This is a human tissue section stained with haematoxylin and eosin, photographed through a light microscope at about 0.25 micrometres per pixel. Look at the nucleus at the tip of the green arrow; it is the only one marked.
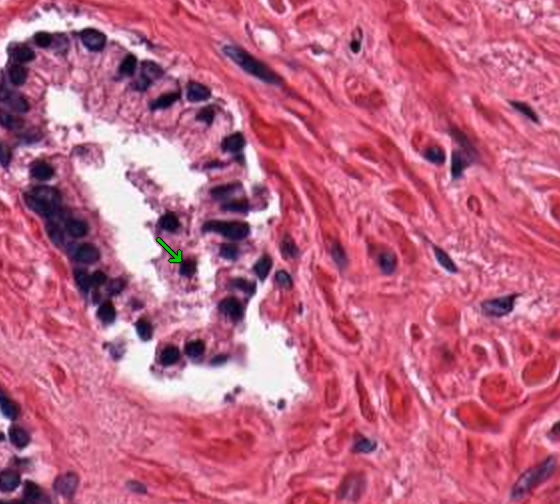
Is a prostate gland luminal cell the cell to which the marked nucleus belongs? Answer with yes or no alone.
yes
